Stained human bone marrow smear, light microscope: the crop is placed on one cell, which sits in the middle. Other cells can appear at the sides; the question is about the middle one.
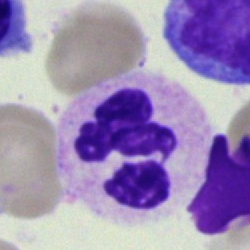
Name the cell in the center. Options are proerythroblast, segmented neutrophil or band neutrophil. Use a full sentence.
Whatever else lies nearby, the middle cell is a segmented neutrophil.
